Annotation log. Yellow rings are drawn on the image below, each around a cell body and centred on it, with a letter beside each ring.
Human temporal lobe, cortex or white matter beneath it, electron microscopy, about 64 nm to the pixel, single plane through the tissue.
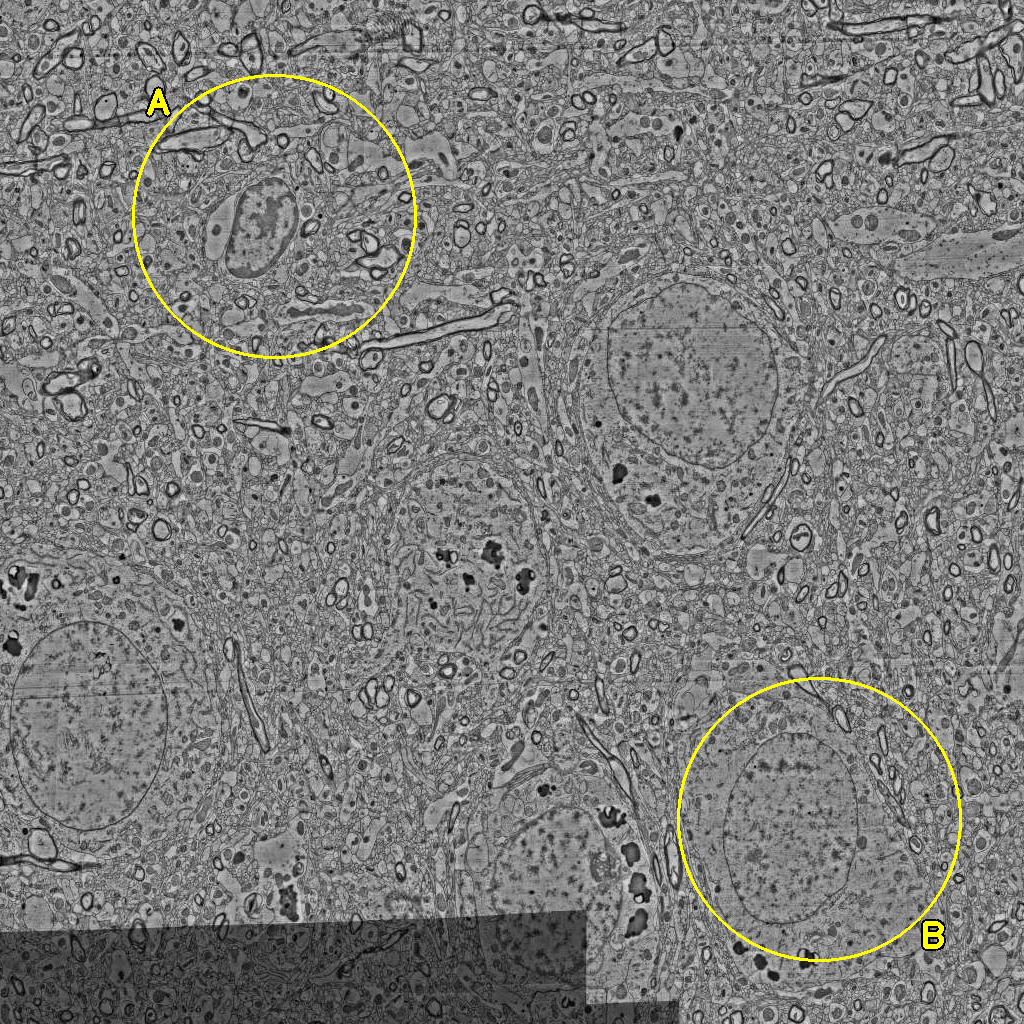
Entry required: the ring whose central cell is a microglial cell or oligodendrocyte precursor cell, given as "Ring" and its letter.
Ring A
